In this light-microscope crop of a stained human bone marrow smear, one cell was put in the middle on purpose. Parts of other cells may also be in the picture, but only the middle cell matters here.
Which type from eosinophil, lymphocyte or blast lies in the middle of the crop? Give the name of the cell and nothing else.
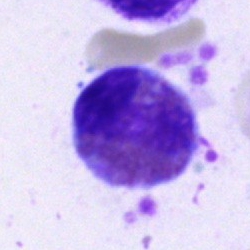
eosinophil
